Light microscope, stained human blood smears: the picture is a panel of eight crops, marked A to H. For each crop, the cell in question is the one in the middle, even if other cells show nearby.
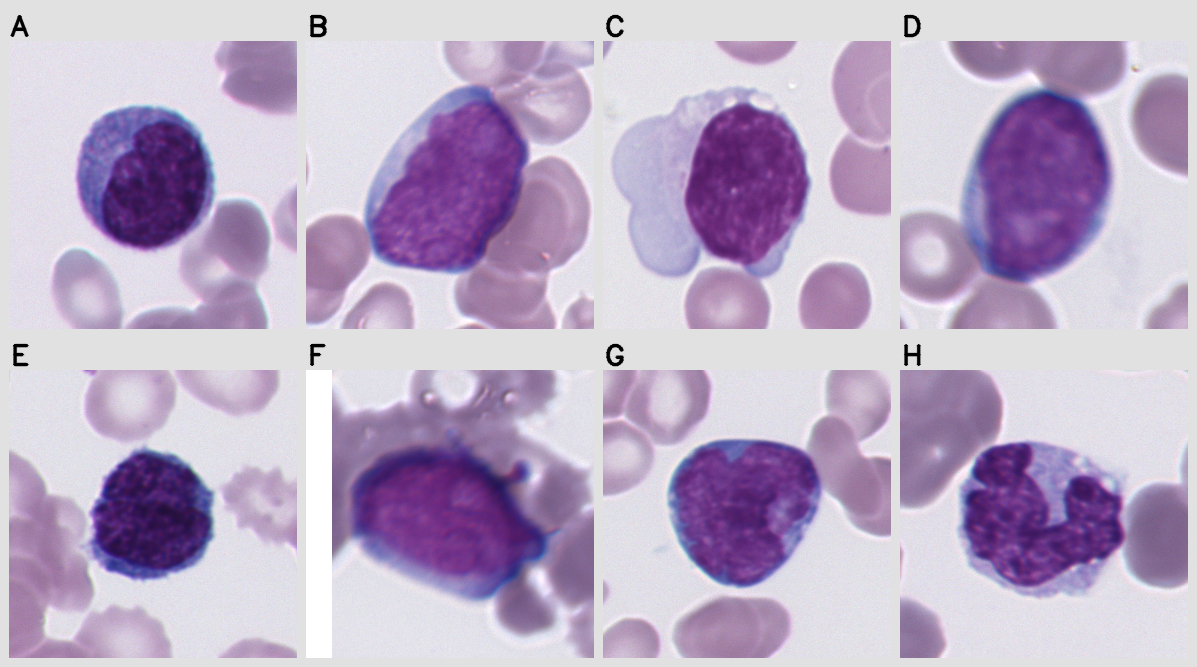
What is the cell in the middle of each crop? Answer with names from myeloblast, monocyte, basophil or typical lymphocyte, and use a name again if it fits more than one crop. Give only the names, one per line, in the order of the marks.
monocyte
myeloblast
myeloblast
myeloblast
typical lymphocyte
myeloblast
myeloblast
monocyte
